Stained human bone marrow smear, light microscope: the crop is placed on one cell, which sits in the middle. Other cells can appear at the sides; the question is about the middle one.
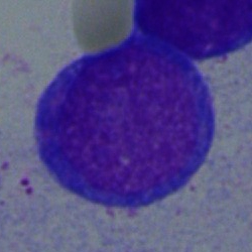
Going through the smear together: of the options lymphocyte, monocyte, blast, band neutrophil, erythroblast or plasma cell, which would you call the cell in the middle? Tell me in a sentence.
The single cell at the center of the crop is a blast.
